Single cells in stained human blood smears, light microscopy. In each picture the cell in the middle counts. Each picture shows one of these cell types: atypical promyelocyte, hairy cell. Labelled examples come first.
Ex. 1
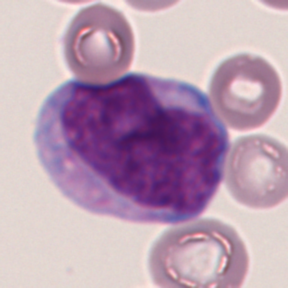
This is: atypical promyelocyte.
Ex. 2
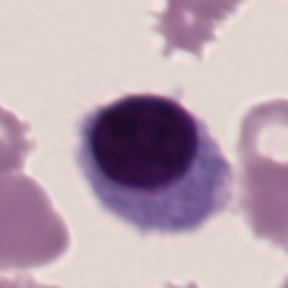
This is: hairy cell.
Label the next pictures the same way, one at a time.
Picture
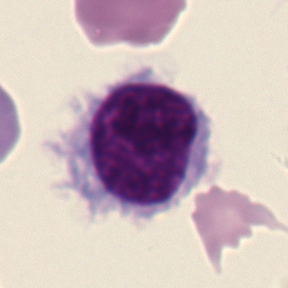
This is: hairy cell.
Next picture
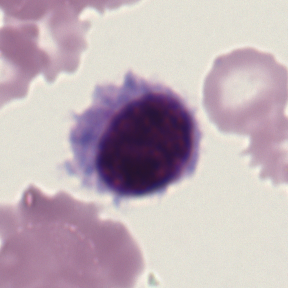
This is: hairy cell.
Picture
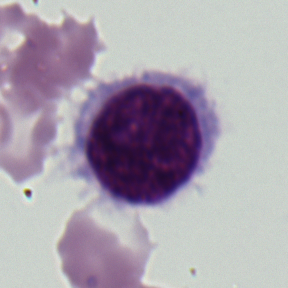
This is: hairy cell.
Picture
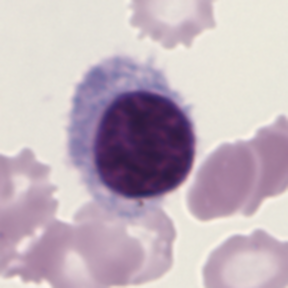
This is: hairy cell.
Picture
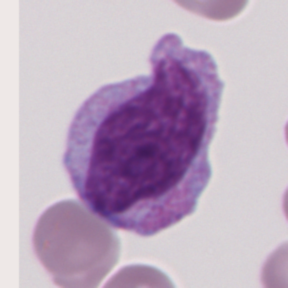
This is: atypical promyelocyte.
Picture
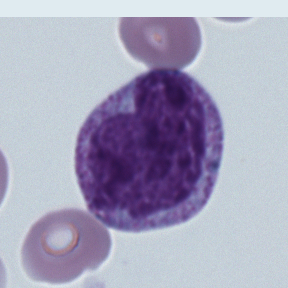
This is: atypical promyelocyte.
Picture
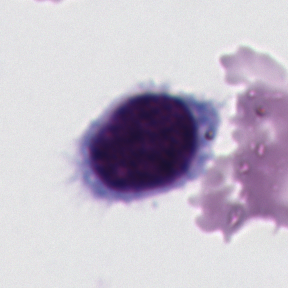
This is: hairy cell.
